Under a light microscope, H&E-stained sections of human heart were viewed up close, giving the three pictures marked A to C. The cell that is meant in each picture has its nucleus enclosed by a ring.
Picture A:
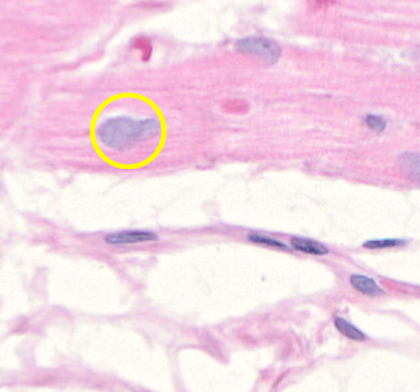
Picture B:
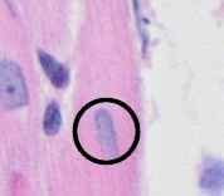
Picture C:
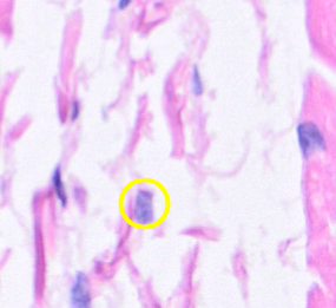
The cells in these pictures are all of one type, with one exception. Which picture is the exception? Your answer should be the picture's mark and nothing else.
C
